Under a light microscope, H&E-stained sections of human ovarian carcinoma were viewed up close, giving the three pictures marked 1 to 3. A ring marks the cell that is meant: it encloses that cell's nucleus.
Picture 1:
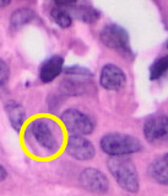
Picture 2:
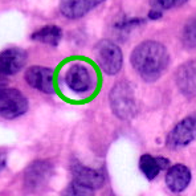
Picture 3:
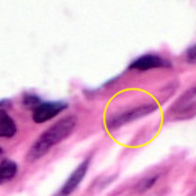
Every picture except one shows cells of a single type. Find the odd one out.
3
